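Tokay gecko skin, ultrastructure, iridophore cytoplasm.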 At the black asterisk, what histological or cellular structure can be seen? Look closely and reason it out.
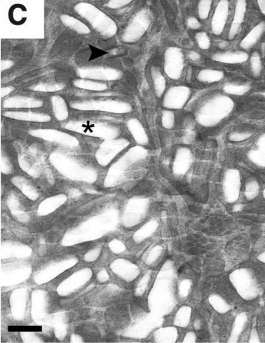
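The asterisk lies on a bright empty rectangular space. The answer: holes where crystal were lost.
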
